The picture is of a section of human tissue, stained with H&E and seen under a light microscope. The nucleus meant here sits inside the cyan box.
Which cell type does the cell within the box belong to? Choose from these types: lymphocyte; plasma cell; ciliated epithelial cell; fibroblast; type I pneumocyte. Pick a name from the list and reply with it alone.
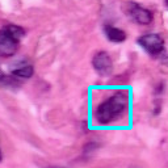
plasma cell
